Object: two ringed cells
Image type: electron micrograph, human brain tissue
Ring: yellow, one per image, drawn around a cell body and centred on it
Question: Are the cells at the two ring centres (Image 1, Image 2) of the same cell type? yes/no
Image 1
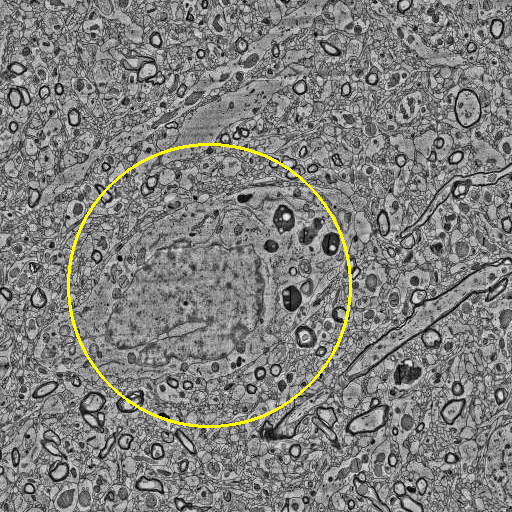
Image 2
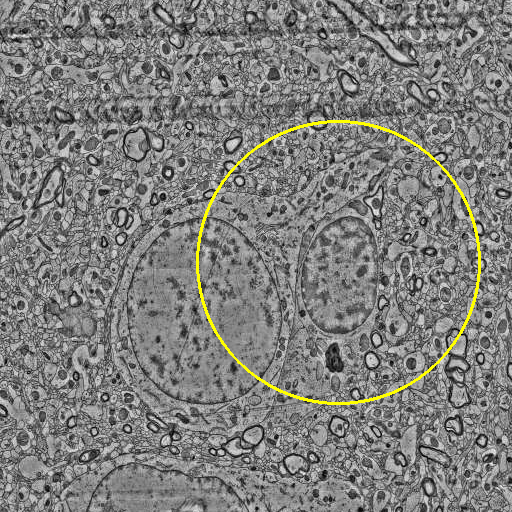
no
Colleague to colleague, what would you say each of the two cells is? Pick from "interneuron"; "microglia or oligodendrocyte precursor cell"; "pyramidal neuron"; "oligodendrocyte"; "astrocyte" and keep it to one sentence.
The cell in the first picture is an interneuron; the second picture's cell is an oligodendrocyte.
